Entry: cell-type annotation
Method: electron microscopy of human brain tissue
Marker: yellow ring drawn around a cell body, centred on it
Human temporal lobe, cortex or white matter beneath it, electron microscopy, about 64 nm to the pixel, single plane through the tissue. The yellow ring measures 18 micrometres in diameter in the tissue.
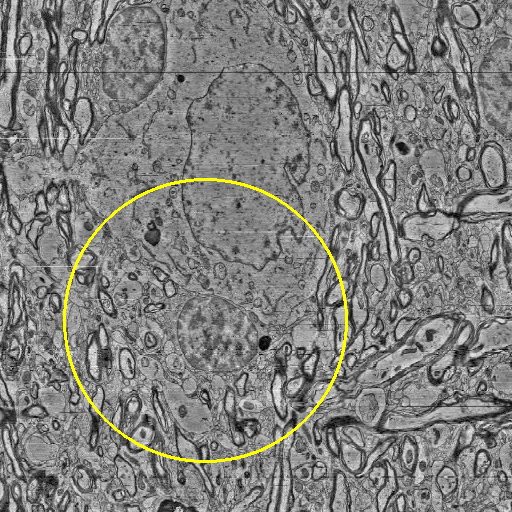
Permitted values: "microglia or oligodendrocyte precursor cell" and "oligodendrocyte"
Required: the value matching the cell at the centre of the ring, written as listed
oligodendrocyte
